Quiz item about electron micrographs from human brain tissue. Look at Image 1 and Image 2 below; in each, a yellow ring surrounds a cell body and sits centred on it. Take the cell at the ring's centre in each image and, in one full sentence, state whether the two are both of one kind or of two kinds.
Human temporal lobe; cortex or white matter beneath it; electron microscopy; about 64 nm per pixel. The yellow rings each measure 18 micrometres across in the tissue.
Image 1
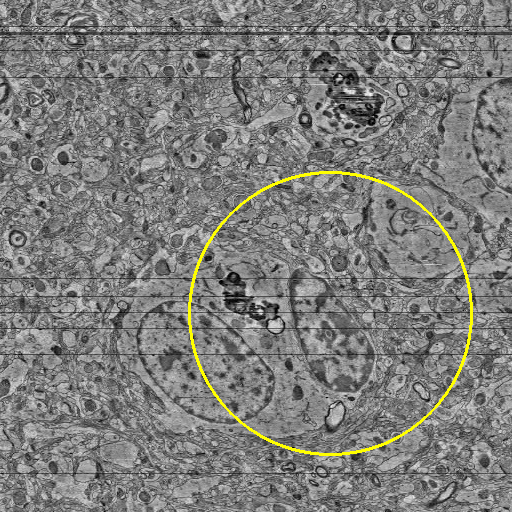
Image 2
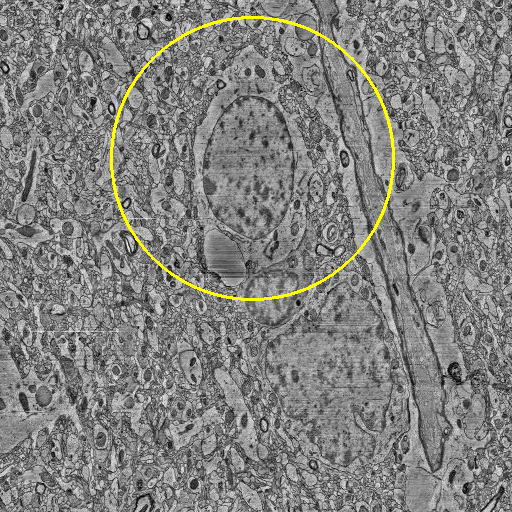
In Image 1 and Image 2, the cells at the ring centres are of two kinds.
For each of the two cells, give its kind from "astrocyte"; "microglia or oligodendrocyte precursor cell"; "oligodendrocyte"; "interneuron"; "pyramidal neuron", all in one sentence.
The first picture has a microglial cell or oligodendrocyte precursor cell in its ring, the second has an astrocyte.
